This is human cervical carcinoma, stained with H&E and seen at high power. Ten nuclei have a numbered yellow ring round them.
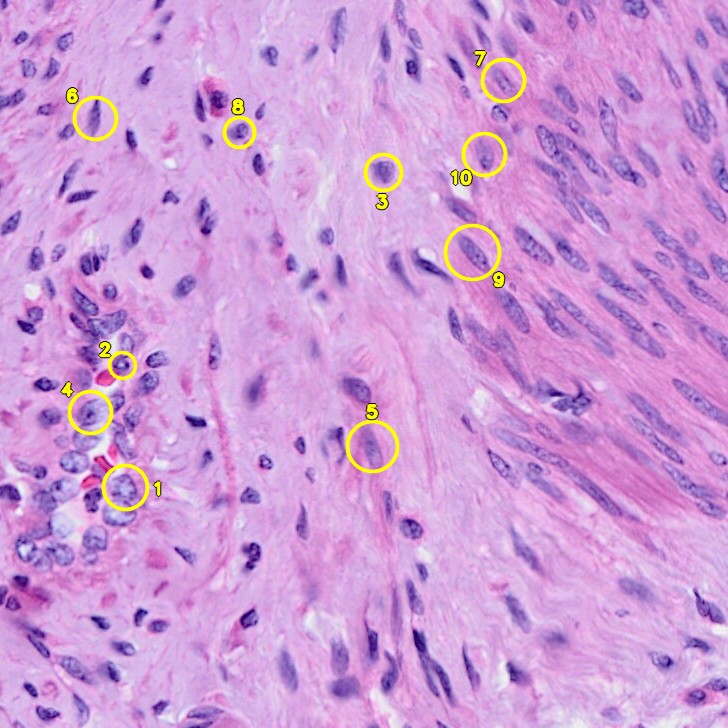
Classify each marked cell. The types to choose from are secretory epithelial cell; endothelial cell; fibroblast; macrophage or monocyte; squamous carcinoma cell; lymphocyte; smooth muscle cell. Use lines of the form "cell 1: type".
cell 1: endothelial cell
cell 2: endothelial cell
cell 3: fibroblast
cell 4: endothelial cell
cell 5: smooth muscle cell
cell 6: fibroblast
cell 7: smooth muscle cell
cell 8: fibroblast
cell 9: smooth muscle cell
cell 10: smooth muscle cell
